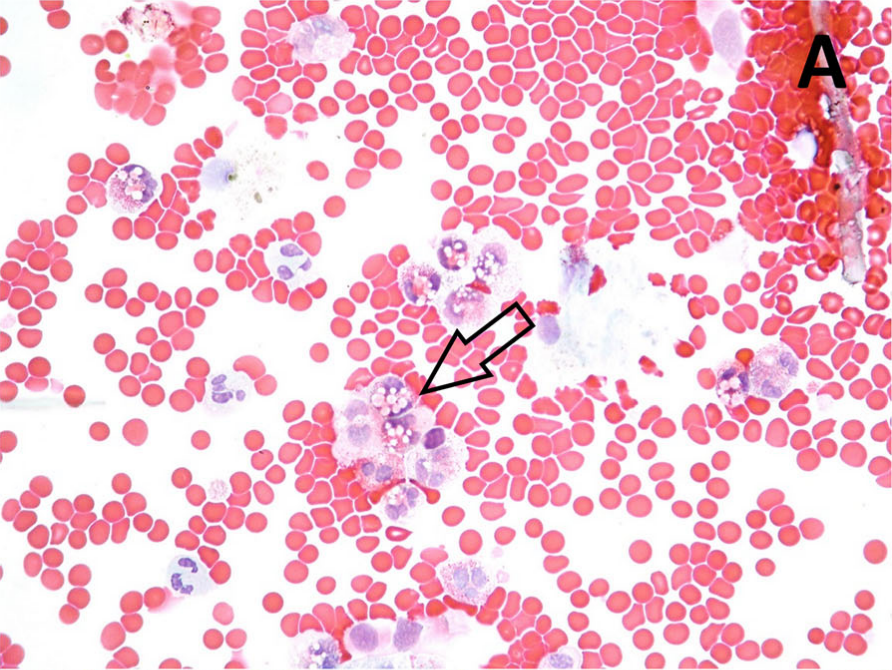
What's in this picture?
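This fluid preparation shows eosinophils scattered among abundant red blood cells. The eosinophils have pink to orange granular cytoplasm, and several show two-lobed nuclei. A cluster of these cells at the centre has fewer, uneven granules and several clear round vacuoles in the cytoplasm. Scattered nucleated cells with lobed nuclei also lie among the red cells. The red blood cells are round and lie closely packed, more densely towards the upper right.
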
